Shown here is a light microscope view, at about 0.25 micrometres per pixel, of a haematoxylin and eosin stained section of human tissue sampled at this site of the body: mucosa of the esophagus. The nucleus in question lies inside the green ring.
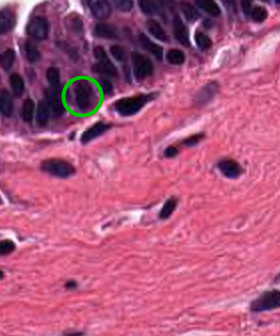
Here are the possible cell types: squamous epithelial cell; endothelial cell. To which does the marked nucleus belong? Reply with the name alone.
squamous epithelial cell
